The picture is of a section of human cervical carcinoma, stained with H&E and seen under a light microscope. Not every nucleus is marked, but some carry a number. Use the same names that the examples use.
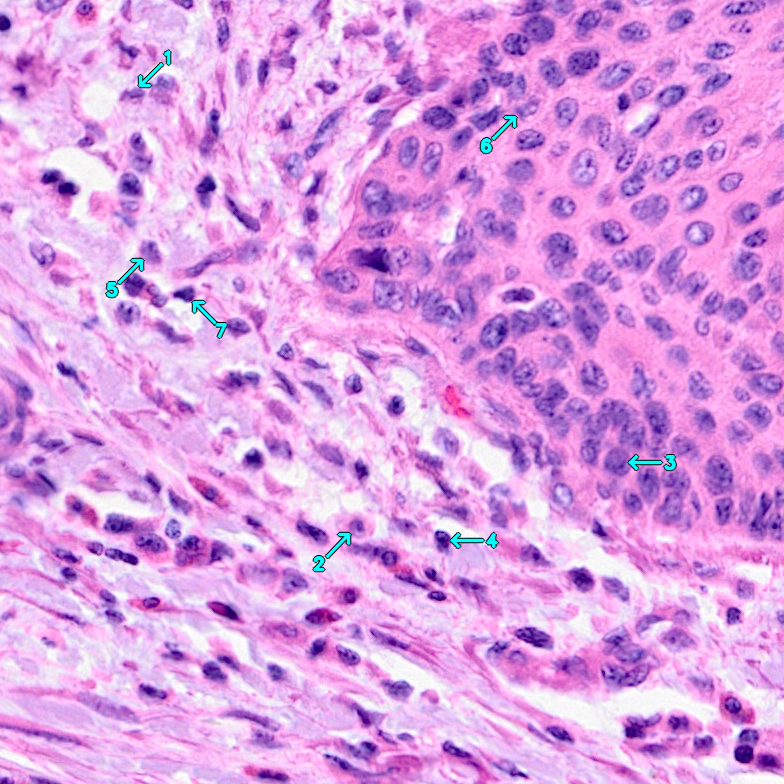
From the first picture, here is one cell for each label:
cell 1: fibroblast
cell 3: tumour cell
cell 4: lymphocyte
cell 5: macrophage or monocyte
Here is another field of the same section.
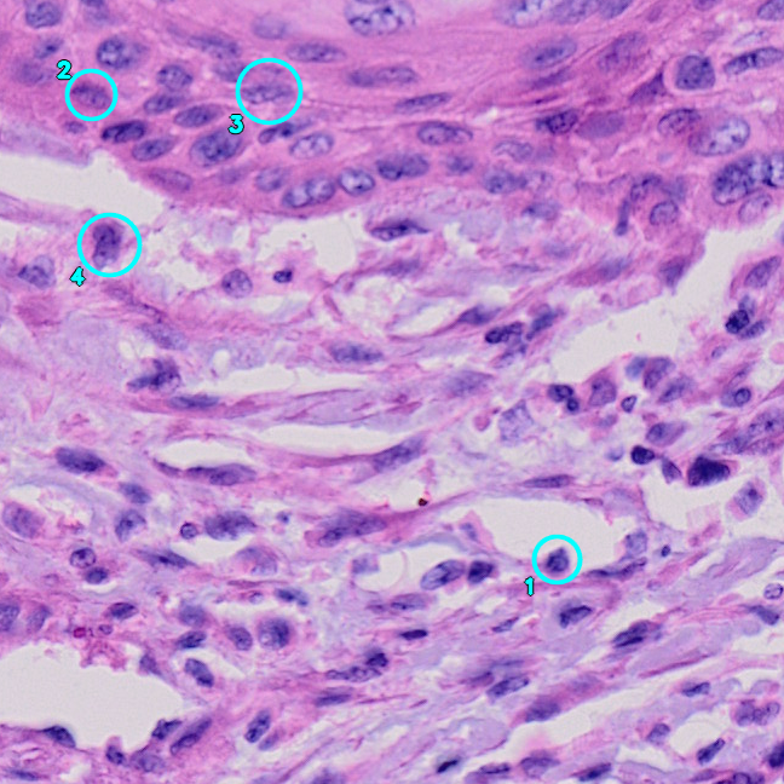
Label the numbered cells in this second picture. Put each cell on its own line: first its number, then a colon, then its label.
1: lymphocyte
2: tumour cell
3: tumour cell
4: macrophage or monocyte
